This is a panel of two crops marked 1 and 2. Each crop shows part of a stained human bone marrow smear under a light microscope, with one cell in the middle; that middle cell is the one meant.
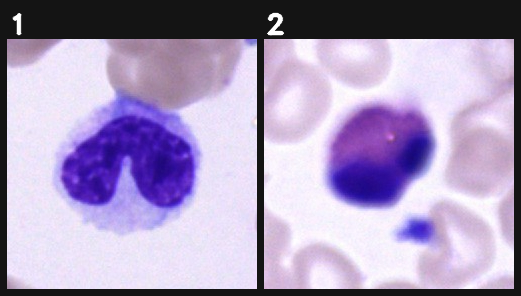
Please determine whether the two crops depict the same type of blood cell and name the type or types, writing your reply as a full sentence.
No, in crop 2 the central cell is an eosinophil, and in crop 1 it is a band neutrophil.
